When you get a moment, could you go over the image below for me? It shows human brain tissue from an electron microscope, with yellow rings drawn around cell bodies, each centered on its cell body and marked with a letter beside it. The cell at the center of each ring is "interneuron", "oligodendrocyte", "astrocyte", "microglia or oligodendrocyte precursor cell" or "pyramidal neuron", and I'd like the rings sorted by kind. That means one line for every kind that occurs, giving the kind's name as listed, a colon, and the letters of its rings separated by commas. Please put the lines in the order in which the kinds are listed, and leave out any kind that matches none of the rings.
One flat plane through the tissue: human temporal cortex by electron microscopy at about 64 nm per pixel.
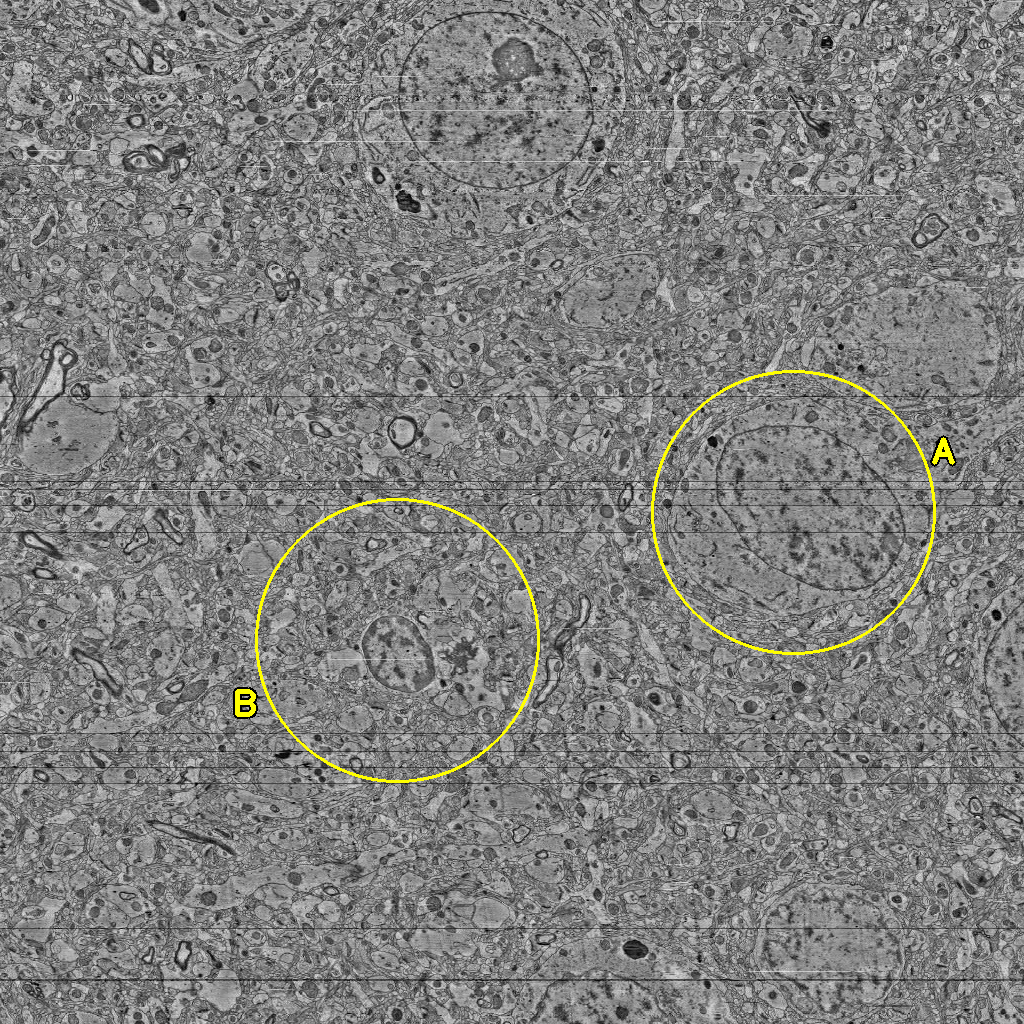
microglia or oligodendrocyte precursor cell: B
pyramidal neuron: A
